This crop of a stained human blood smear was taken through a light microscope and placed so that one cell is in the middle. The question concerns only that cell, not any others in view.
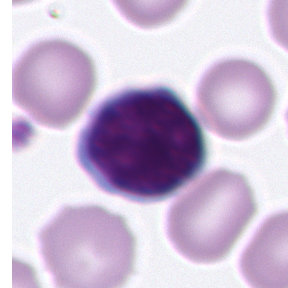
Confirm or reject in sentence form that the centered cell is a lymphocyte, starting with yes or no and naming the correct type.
Yes, the cell in the middle of the crop is a lymphocyte.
